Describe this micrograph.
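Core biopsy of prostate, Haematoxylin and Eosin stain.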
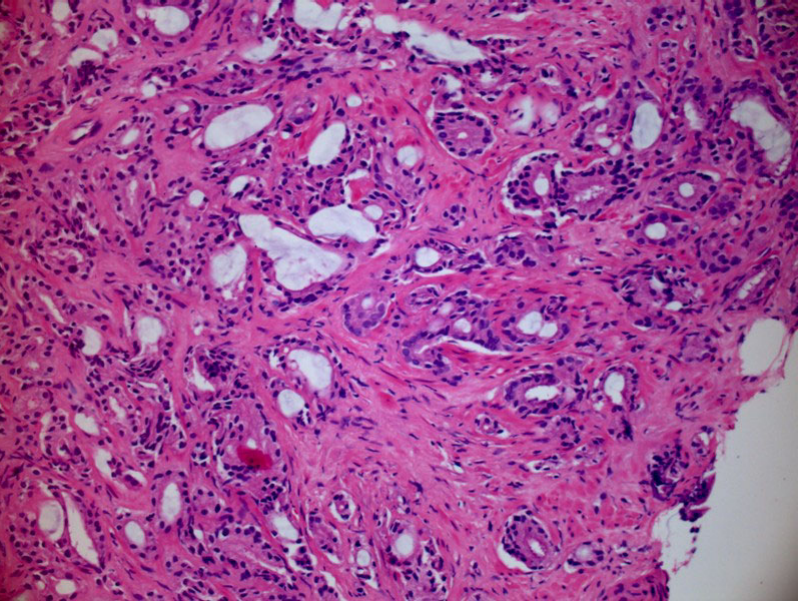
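Several lumina hold pale bluish-grey secretion. The glands sit separately from one another, with strands of stroma running between them.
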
